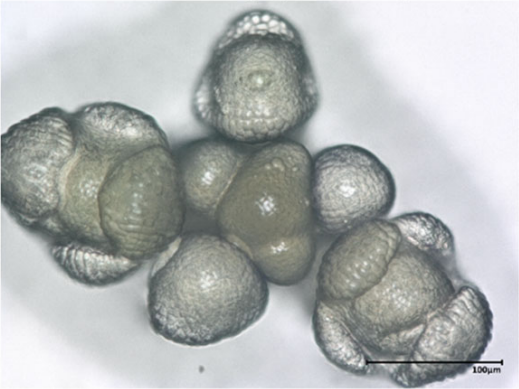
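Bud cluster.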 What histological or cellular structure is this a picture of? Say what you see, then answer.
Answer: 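A small smooth dome sits at the center of the cluster. Larger rounded bodies surround the central dome.
Answer: meristem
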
